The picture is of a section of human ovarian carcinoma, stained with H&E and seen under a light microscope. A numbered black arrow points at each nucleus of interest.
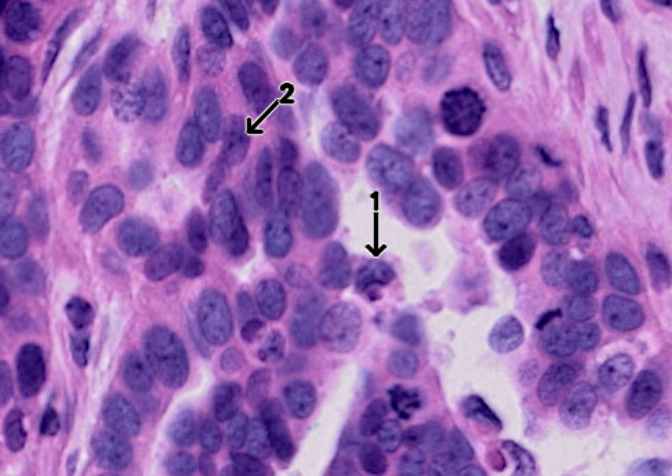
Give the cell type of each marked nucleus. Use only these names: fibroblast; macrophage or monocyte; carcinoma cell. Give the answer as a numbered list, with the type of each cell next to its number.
1. macrophage or monocyte
2. carcinoma cell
